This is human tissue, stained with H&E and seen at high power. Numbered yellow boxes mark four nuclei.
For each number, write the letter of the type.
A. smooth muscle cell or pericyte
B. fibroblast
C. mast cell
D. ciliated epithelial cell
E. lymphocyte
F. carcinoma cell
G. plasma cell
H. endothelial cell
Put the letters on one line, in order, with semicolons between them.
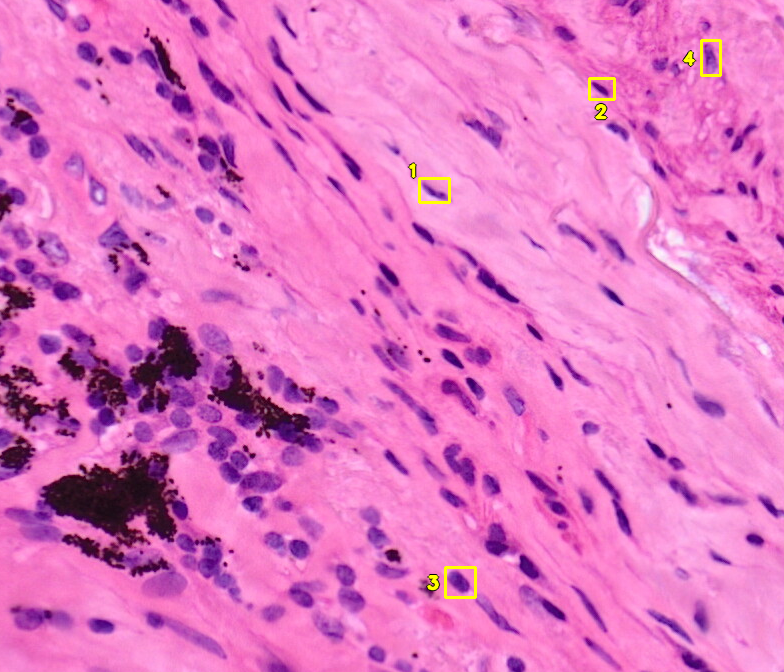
B; A; E; A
